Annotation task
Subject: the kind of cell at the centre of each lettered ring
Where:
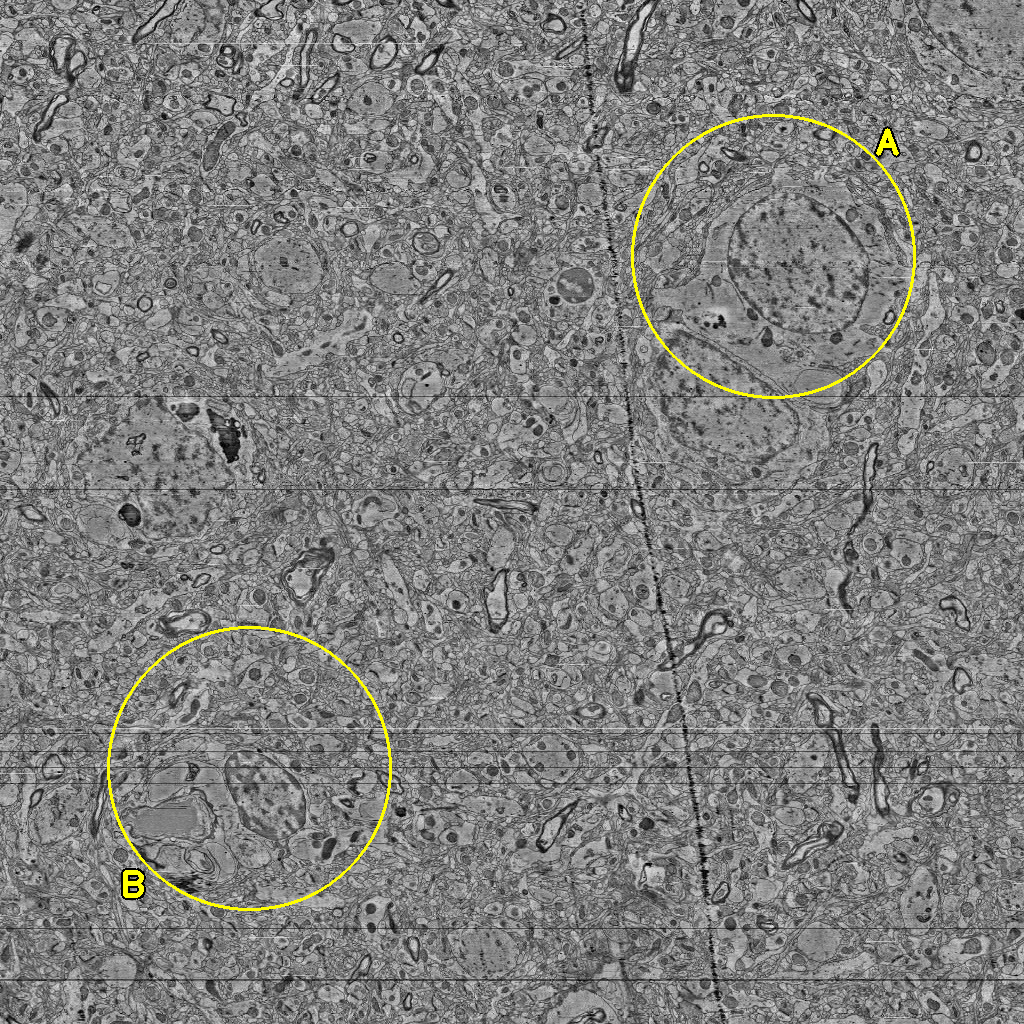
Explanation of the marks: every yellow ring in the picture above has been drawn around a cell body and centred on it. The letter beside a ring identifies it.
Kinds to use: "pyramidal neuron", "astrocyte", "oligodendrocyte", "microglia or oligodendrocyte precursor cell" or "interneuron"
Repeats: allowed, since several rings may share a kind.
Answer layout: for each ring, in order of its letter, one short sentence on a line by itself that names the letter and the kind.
The ring lettered A is drawn around an astrocyte.
The ring lettered B is drawn around a microglial cell or oligodendrocyte precursor cell.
